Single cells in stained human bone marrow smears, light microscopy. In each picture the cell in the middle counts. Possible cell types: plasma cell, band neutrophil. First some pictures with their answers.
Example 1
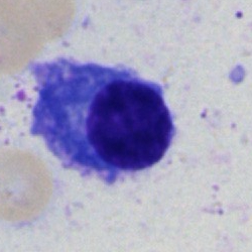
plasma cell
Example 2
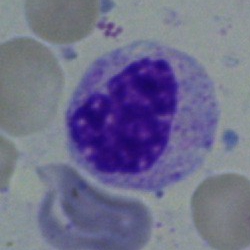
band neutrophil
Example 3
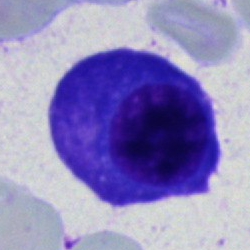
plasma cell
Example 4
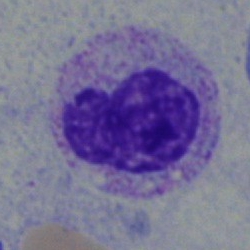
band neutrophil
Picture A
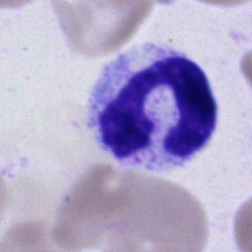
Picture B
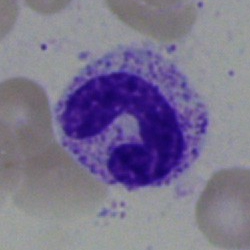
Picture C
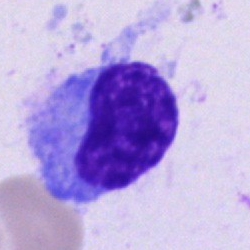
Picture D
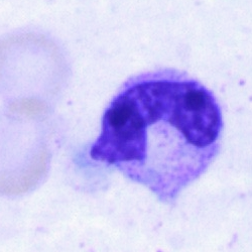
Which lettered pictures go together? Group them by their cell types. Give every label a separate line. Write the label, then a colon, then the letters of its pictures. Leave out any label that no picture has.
plasma cell: C
band neutrophil: A, B, D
